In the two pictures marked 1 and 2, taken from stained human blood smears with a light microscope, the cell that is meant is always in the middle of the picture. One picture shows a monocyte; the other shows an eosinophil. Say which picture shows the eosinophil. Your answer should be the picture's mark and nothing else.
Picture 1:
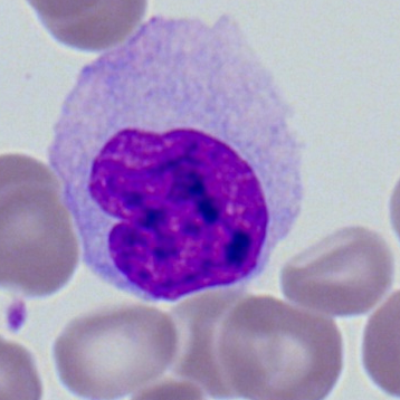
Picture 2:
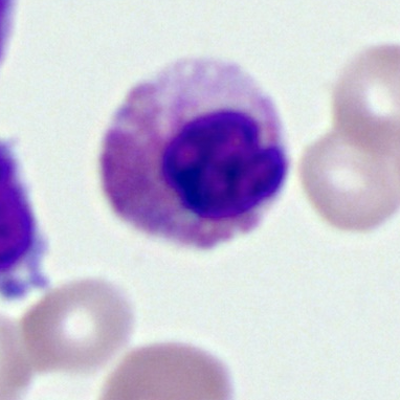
2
